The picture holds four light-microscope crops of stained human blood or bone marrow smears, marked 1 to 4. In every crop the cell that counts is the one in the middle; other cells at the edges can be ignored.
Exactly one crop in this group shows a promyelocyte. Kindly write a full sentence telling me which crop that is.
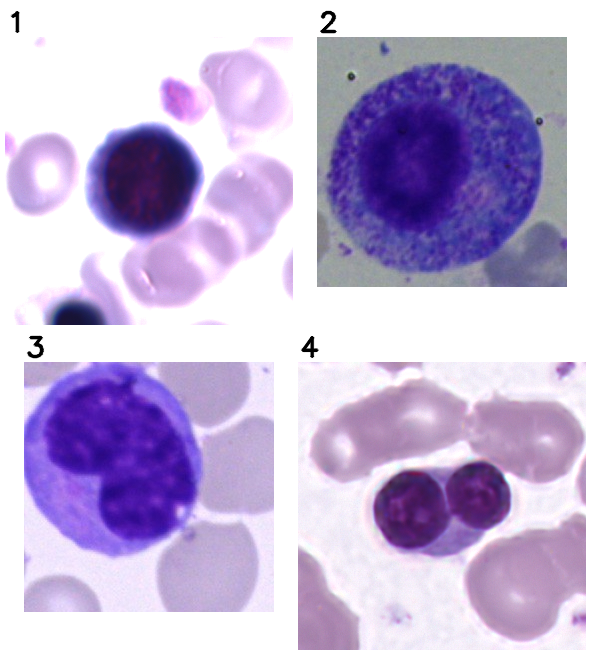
Crop 2 matches the request, showing a promyelocyte.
